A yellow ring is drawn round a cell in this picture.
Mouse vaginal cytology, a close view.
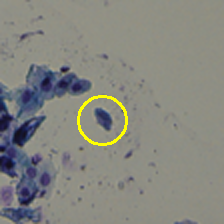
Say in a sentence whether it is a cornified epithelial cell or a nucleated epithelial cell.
The cell in the ring is a cornified epithelial cell.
